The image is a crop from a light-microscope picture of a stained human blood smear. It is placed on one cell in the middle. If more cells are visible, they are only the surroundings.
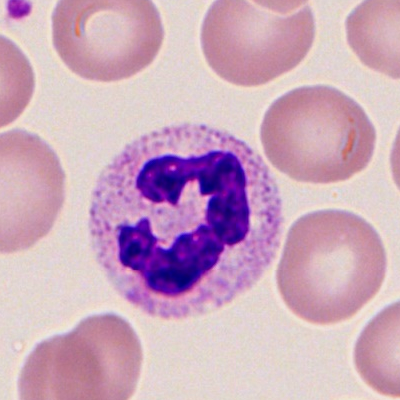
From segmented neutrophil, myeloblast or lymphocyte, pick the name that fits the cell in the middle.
segmented neutrophil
